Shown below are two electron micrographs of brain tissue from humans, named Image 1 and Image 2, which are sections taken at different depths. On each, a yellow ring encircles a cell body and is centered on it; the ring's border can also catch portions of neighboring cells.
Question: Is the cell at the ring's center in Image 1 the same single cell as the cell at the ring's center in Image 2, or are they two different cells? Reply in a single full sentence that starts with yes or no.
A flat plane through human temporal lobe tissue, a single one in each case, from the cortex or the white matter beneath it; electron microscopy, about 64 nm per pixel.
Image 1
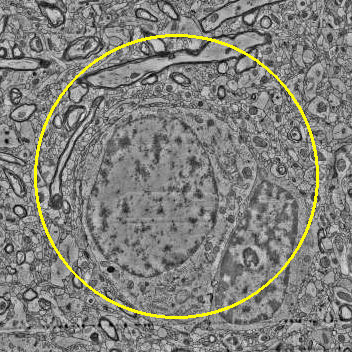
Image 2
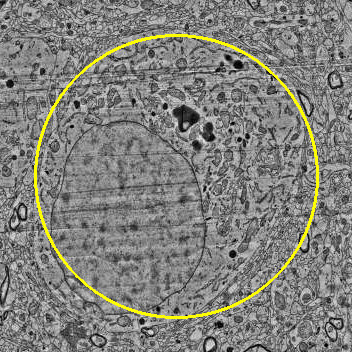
No, the two rings in this image mark separate cells.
